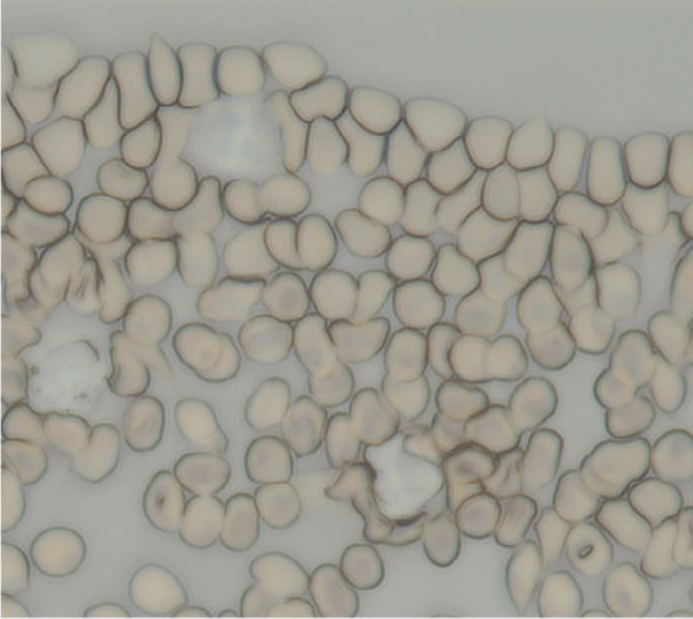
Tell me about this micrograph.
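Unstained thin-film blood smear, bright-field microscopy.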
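The cells are pressed together into irregular, polygonal or elongated shapes and many overlap, so their dark outlines blur or merge. A few pale whitish irregular patches lie among the packed cells.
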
